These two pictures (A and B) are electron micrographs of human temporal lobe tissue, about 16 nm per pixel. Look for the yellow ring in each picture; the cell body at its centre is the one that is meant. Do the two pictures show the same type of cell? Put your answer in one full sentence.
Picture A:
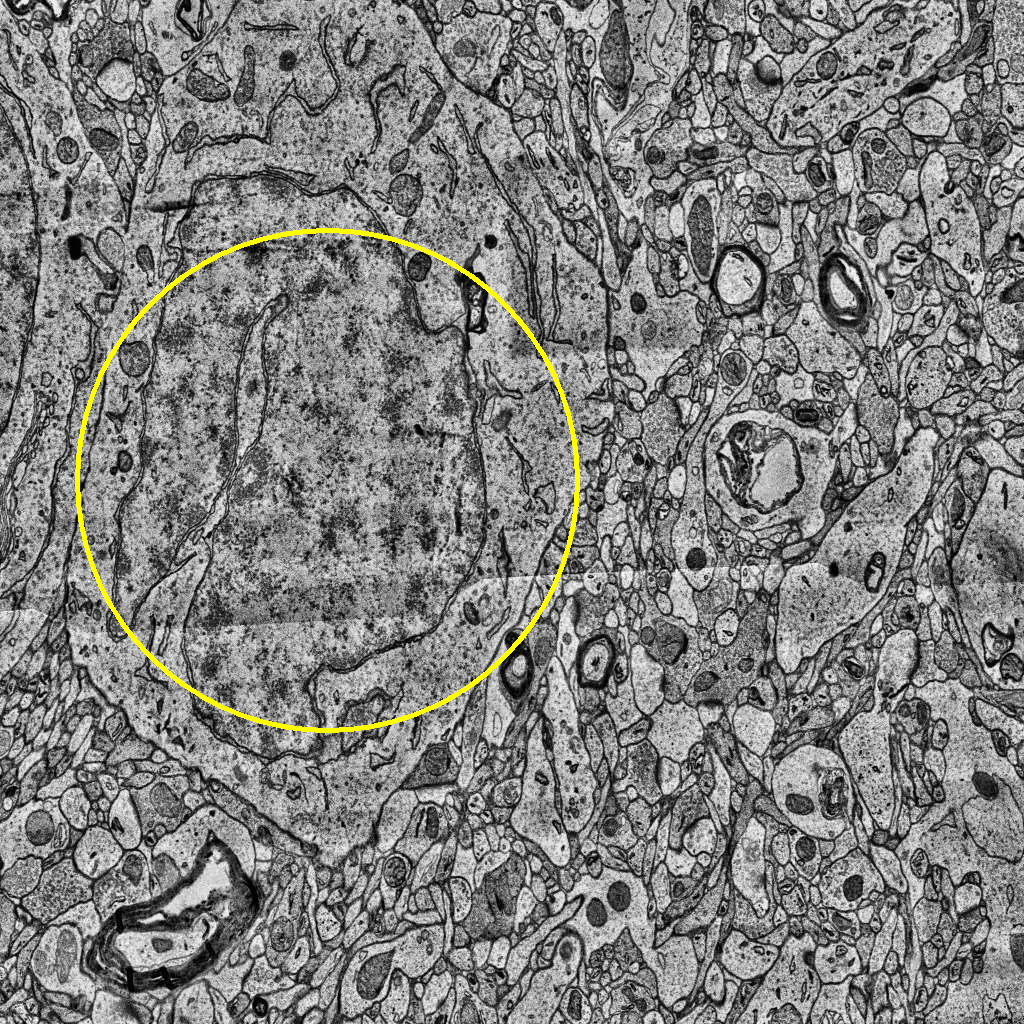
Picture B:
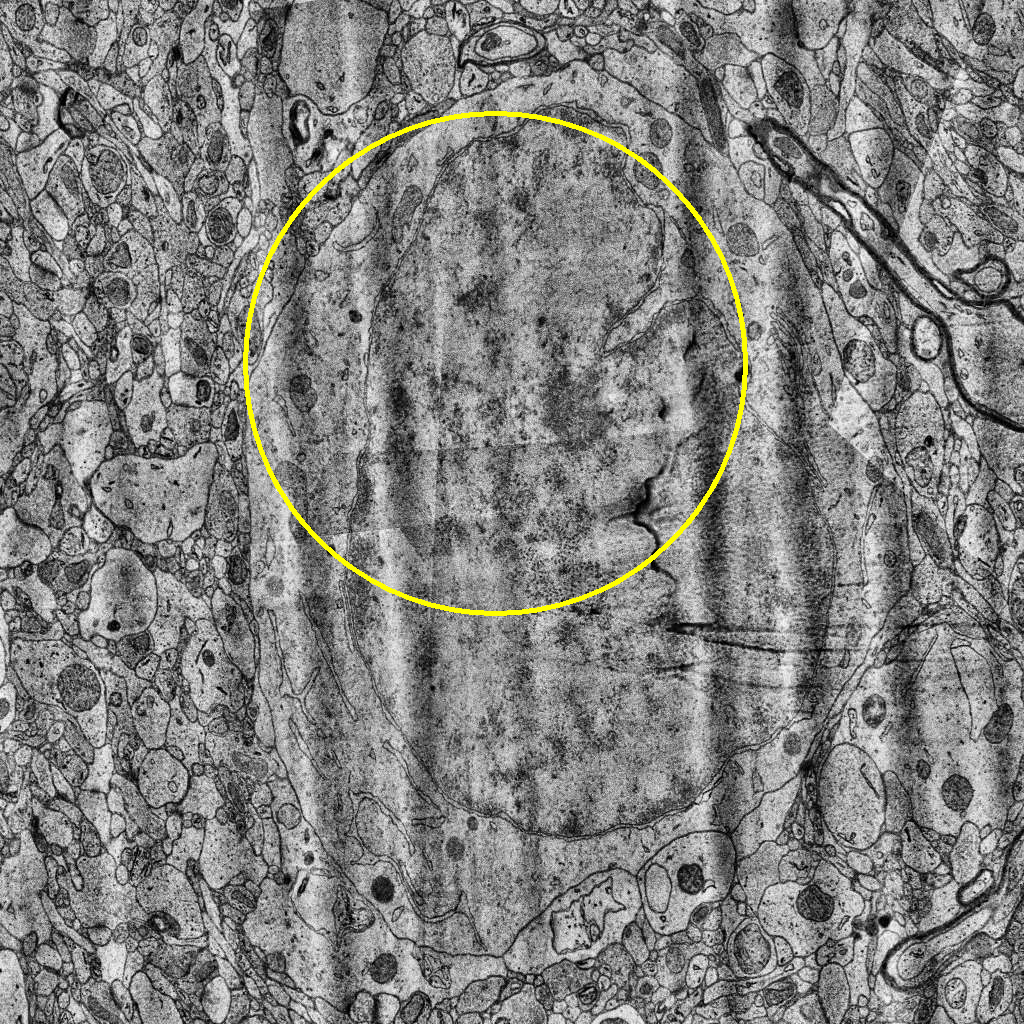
Yes, both cells are interneurons.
